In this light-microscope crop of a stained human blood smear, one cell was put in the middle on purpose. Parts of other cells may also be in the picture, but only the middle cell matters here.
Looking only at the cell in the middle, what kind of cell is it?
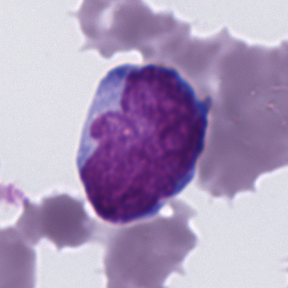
myeloblast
